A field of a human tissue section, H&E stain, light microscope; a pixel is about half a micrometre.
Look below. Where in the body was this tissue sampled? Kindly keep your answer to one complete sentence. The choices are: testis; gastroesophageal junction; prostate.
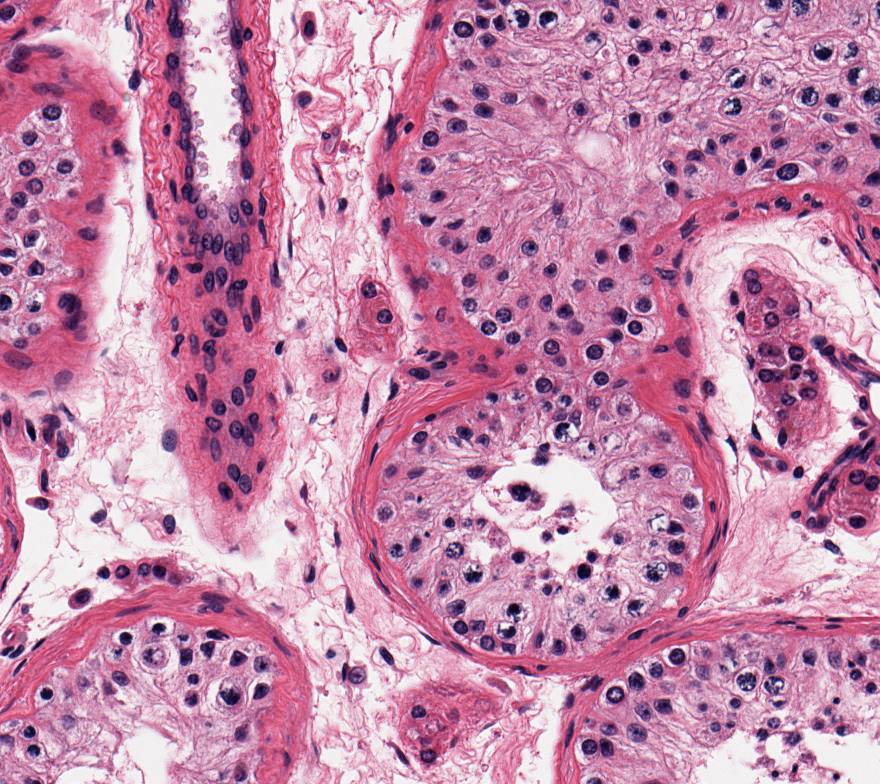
This is tissue that was sampled from the testis.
